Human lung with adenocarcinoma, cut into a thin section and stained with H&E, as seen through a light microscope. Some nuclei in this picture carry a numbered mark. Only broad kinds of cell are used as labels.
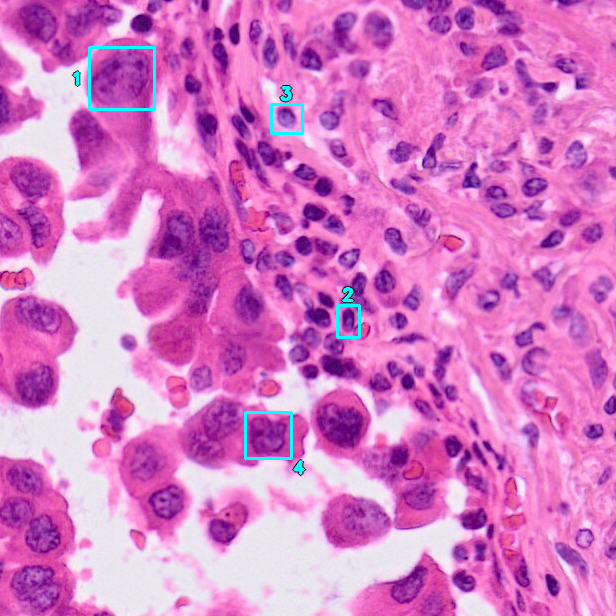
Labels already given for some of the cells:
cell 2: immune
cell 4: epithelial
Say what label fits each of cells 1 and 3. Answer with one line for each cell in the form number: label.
1: epithelial
3: immune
